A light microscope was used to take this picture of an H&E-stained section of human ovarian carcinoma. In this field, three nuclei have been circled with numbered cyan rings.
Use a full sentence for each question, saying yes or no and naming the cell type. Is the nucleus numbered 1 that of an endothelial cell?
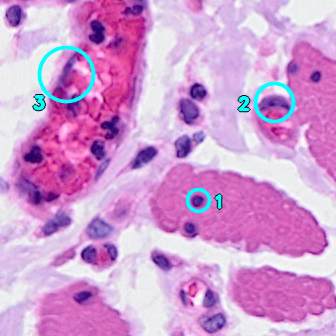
No, cell number 1 is identified as a smooth muscle cell, not as an endothelial cell.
